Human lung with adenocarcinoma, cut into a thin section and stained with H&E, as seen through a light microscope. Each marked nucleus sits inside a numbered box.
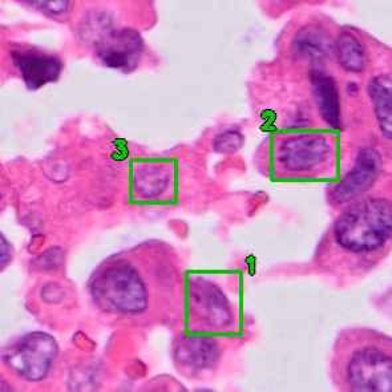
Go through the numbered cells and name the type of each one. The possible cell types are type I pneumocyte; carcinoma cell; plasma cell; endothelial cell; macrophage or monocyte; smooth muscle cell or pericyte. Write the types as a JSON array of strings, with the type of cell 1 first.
["carcinoma cell", "carcinoma cell", "macrophage or monocyte"]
